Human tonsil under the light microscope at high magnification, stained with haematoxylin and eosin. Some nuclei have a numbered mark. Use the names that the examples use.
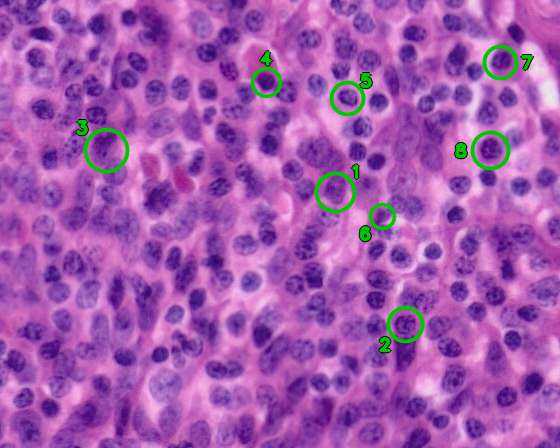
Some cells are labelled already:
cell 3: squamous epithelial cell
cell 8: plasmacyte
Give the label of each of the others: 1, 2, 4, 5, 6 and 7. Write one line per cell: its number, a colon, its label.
1: squamous epithelial cell
2: plasmacyte
4: plasmacyte
5: plasmacyte
6: squamous epithelial cell
7: plasmacyte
